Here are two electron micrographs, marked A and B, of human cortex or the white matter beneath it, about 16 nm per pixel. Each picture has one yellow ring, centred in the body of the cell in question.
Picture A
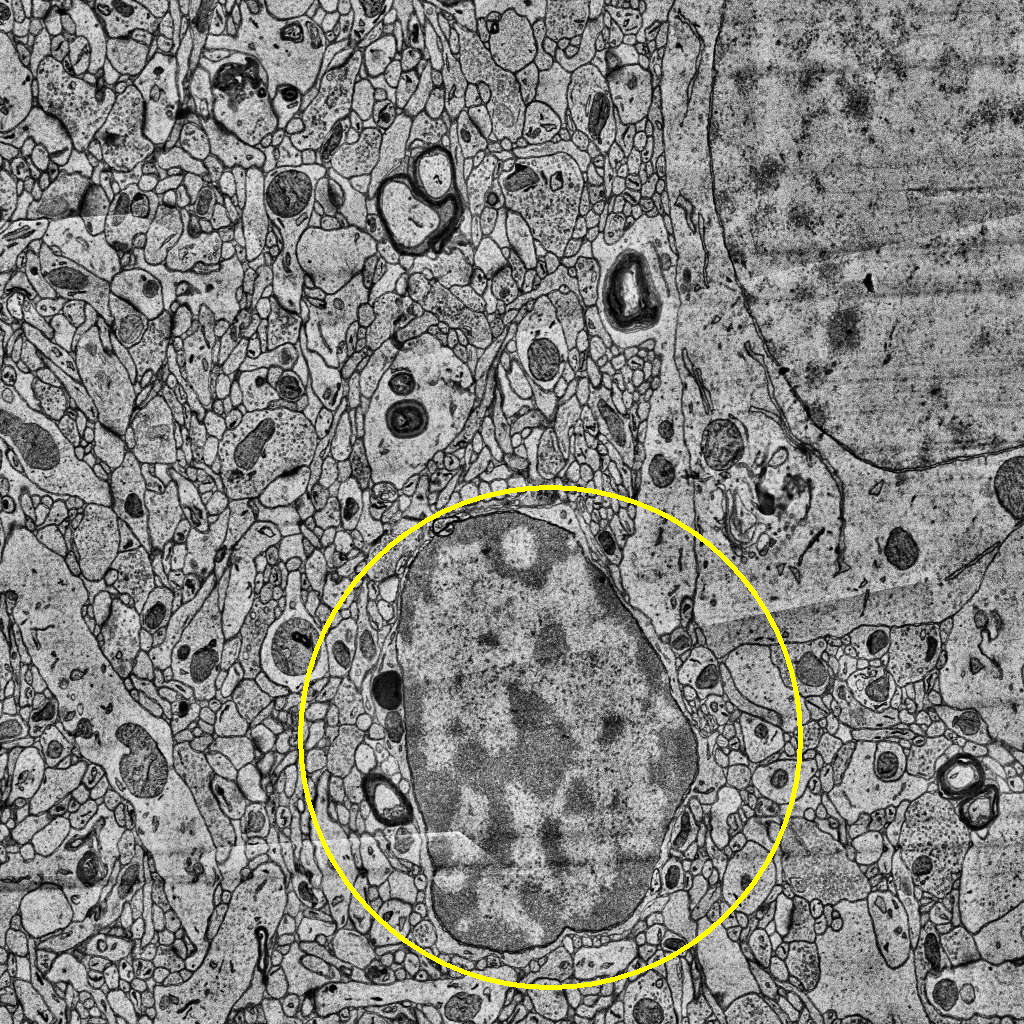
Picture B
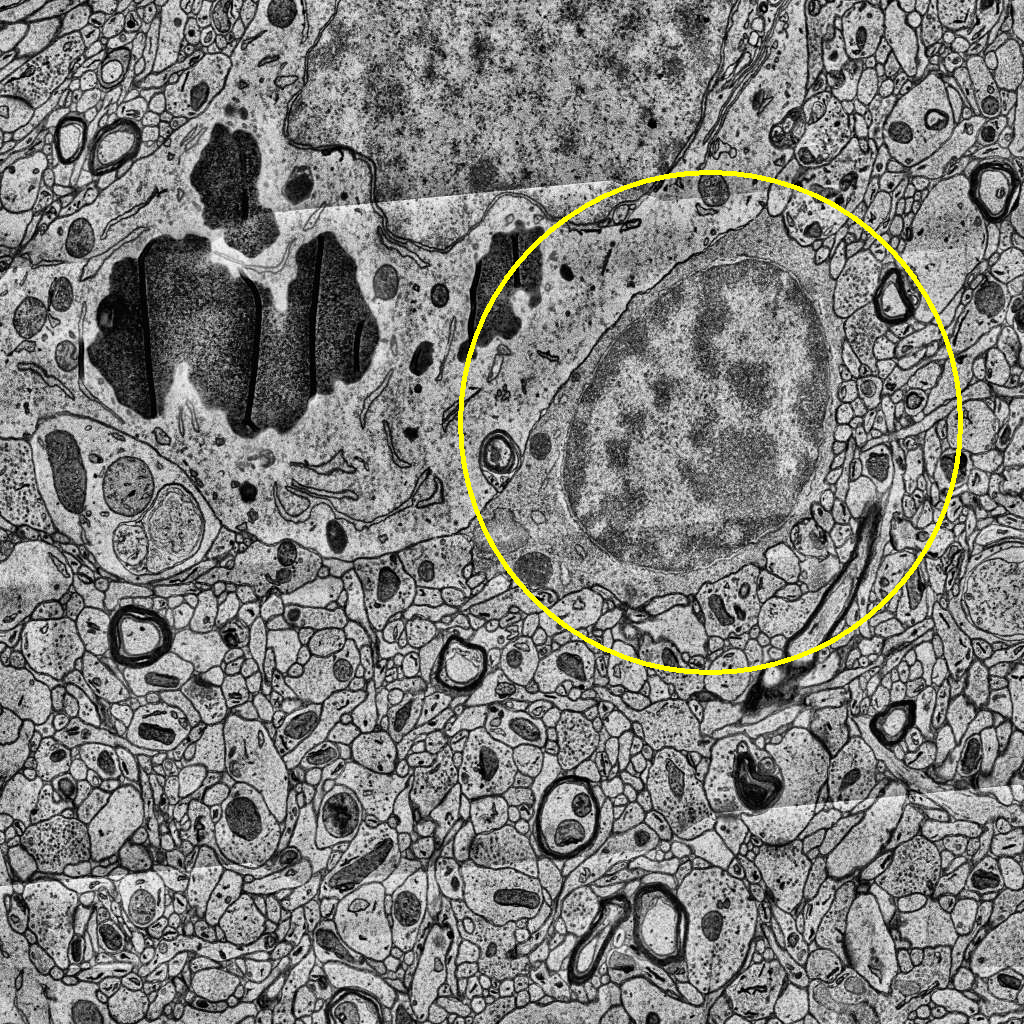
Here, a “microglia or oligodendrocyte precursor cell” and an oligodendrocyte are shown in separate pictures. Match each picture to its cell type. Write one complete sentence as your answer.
Picture A is of a “microglia or oligodendrocyte precursor cell”, and picture B is of an oligodendrocyte.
